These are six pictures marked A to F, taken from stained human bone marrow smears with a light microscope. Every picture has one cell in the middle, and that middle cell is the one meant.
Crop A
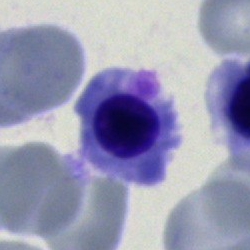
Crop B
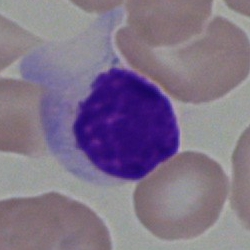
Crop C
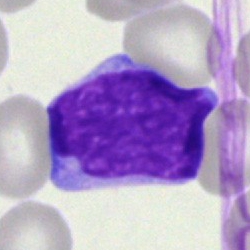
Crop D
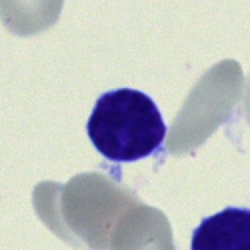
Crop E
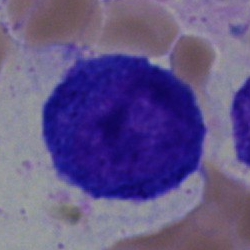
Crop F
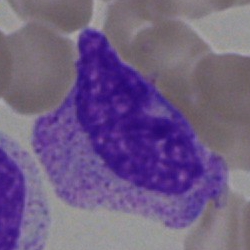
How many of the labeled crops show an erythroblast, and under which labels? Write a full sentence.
Only one of these crops has an erythroblast at its centre, crop A.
